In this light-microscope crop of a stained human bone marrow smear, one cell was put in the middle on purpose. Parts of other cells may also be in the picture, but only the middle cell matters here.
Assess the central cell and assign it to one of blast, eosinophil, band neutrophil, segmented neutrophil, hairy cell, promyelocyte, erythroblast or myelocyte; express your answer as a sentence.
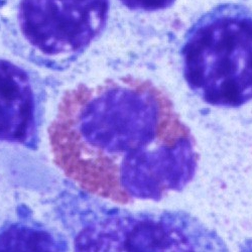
Centrally within this crop lies an eosinophil.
